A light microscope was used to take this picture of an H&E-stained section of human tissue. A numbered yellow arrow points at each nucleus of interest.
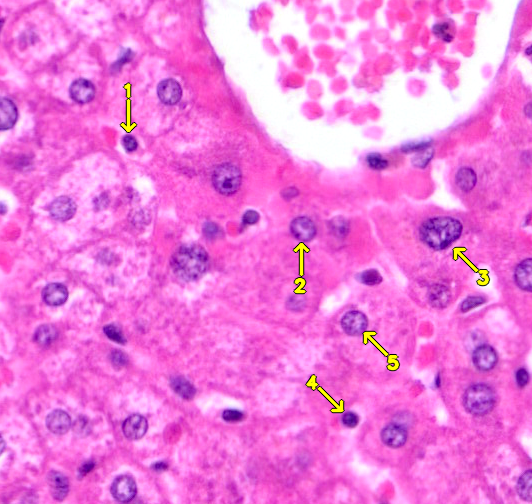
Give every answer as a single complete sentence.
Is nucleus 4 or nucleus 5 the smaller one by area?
With nucleus 5 about 2 times its size, nucleus 4 is the smaller of the two.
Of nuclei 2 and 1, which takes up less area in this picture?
The smaller nucleus is 1, and 2 covers roughly 2 times its area.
